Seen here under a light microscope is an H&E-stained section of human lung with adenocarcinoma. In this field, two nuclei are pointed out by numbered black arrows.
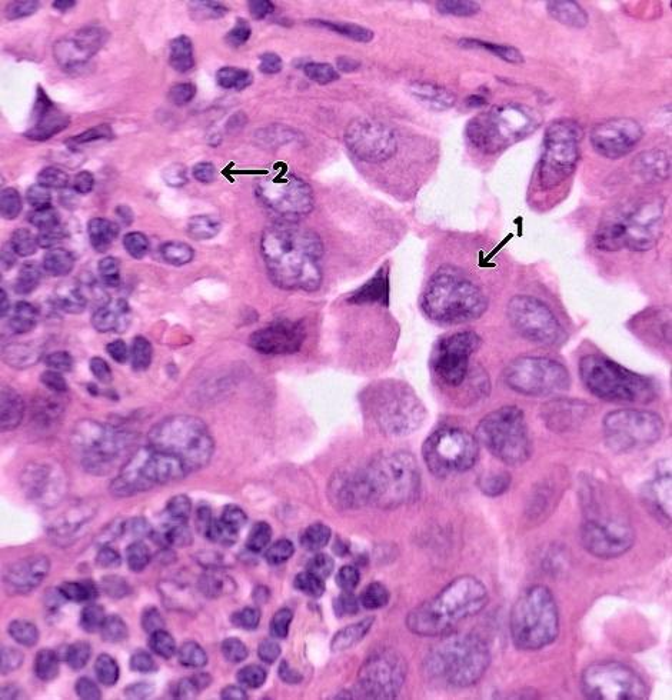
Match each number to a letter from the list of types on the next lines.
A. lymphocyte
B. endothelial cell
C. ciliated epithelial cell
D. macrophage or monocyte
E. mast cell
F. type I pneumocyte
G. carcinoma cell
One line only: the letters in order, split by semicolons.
G; A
